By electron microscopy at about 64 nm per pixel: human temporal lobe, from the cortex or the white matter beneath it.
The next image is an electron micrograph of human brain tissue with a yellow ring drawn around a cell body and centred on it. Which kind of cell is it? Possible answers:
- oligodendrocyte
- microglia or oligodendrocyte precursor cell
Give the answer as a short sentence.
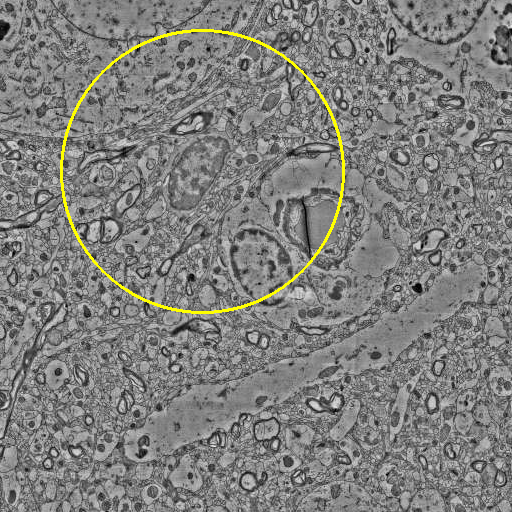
In the ring's centre is an oligodendrocyte.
